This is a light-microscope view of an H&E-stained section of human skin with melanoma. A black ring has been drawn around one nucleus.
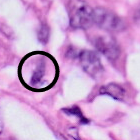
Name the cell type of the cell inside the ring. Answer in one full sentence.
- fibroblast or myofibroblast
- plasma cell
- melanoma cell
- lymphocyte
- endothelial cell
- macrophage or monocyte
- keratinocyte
Right, so the cell inside the ring is a melanoma cell, to answer that.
